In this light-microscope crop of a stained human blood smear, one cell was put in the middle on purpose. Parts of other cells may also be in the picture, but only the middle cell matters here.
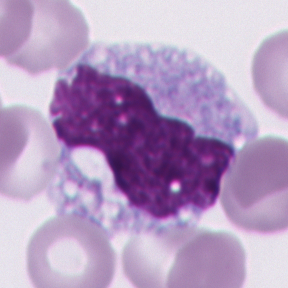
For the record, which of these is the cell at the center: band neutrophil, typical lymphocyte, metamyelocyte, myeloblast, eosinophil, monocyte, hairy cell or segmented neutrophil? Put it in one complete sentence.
The cell that lies at the centre of the crop is a monocyte.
